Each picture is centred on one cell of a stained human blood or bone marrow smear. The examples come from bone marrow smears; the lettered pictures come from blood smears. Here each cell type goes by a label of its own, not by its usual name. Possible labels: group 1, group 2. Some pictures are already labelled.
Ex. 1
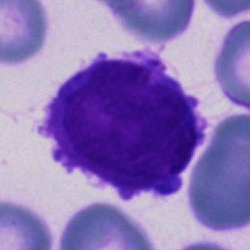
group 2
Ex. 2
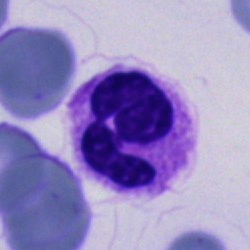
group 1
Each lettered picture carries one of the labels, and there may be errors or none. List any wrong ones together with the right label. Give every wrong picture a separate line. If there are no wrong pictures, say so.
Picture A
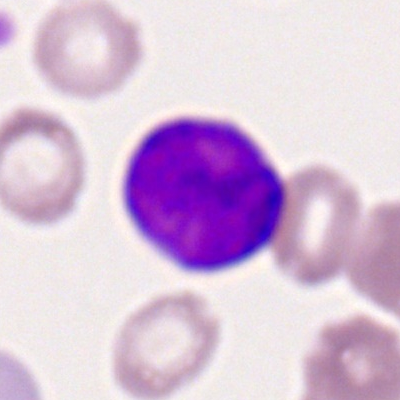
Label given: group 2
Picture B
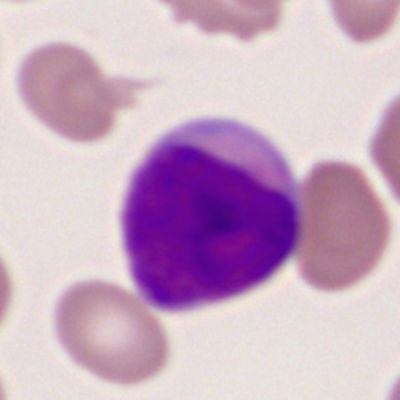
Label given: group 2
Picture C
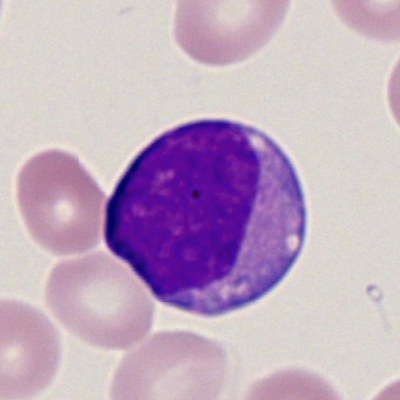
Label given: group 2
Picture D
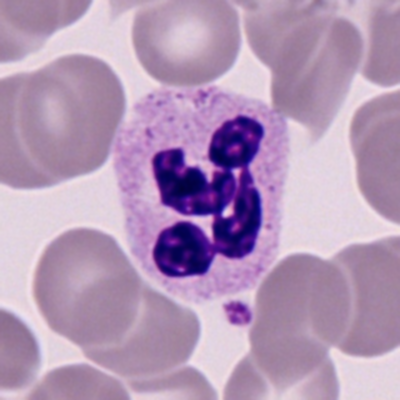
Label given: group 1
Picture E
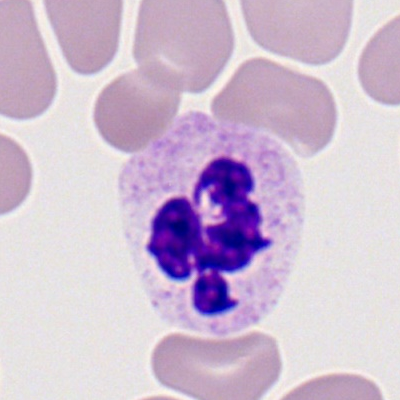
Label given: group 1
Every label is right.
